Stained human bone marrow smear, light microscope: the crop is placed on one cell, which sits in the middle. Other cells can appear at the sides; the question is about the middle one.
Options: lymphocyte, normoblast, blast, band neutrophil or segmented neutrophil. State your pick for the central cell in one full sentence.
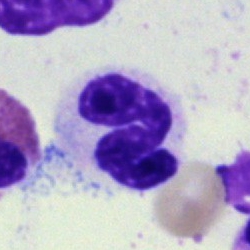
In this smear crop, the middle cell is a segmented neutrophil.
